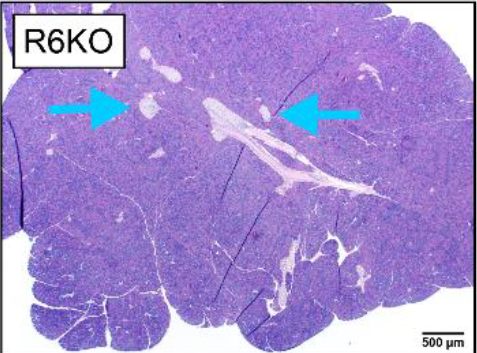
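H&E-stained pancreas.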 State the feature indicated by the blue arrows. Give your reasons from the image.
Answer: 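The arrows point to small, round, pale patches set in dense purple tissue. The pale patches are small and sharply bounded.
Hence: normal islets.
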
